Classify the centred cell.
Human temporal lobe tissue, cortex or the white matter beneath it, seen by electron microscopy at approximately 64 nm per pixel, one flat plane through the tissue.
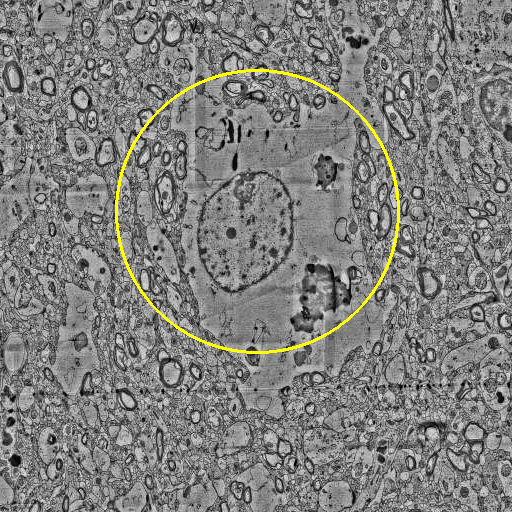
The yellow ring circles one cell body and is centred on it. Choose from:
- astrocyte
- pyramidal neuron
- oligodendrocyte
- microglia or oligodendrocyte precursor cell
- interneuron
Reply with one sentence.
The ring is centred on an astrocyte.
